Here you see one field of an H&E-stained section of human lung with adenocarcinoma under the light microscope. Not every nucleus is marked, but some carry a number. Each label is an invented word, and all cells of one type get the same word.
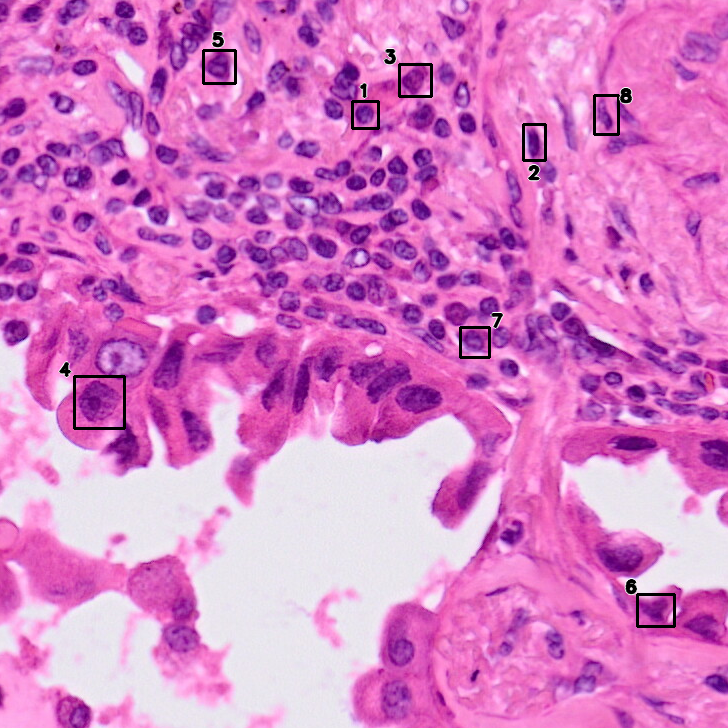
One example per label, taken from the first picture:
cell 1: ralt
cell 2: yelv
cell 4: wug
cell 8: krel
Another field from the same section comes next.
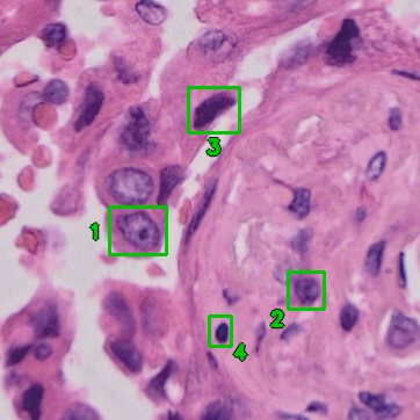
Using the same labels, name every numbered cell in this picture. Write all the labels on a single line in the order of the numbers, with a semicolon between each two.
wug; yelv; wug; ralt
